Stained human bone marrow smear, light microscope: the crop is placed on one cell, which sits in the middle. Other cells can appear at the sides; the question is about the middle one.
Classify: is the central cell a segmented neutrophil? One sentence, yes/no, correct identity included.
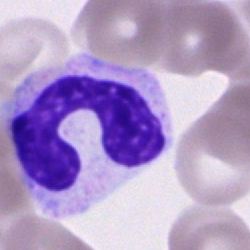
No, sorry, the middle cell is a band neutrophil rather than a segmented neutrophil.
